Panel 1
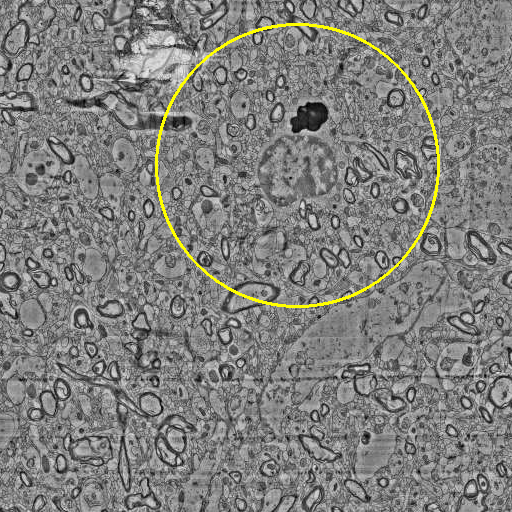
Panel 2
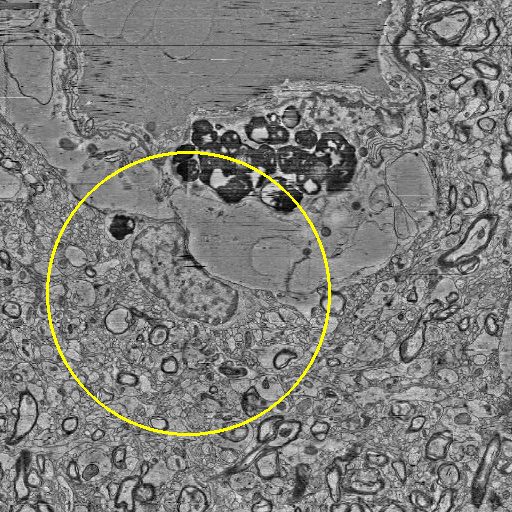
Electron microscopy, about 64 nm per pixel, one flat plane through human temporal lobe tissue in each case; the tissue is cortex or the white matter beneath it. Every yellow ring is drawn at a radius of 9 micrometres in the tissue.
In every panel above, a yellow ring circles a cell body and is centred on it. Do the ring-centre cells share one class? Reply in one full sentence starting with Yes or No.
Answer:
Yes, the two cells at the ring centres in the panels belong to one class.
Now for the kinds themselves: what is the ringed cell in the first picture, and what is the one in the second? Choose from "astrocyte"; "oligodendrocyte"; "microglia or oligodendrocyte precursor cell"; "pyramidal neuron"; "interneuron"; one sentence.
In each picture the ringed cell is an oligodendrocyte.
